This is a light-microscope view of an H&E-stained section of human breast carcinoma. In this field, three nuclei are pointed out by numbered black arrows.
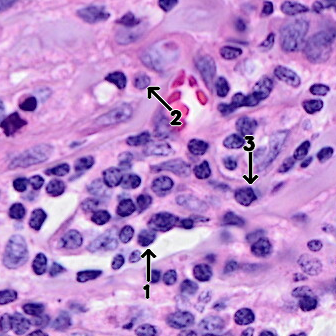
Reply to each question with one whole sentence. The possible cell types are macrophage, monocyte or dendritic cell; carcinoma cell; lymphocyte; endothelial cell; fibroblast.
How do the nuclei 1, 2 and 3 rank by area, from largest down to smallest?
Going from the biggest nucleus down to the smallest gives 3, 1, 2.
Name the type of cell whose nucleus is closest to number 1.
The nearest nucleus to number 1 belongs to a lymphocyte.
